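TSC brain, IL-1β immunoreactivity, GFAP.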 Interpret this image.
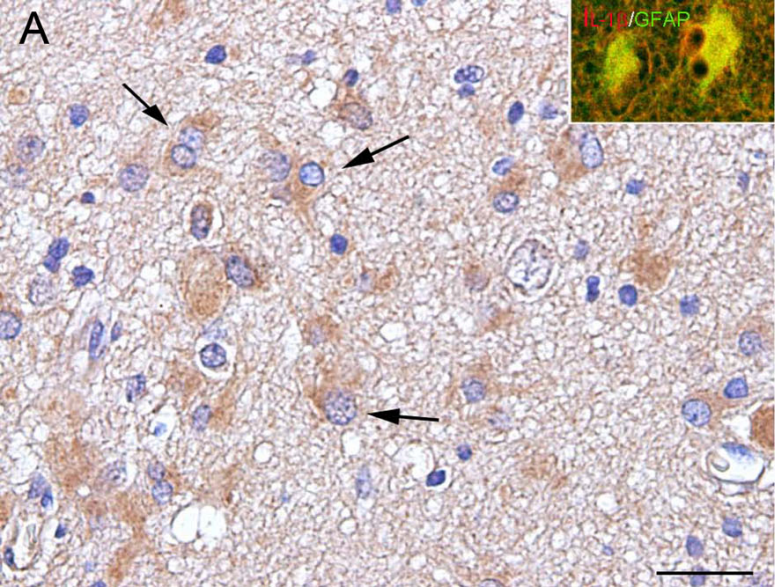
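This is a cortical tuber in which many reactive astrocytes are scattered through a pale, finely vacuolated neuropil. Small dark blue nuclei of other cells lie between them. In the fluorescence inset, two cell bodies appear yellow where the red and green colours overlap.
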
